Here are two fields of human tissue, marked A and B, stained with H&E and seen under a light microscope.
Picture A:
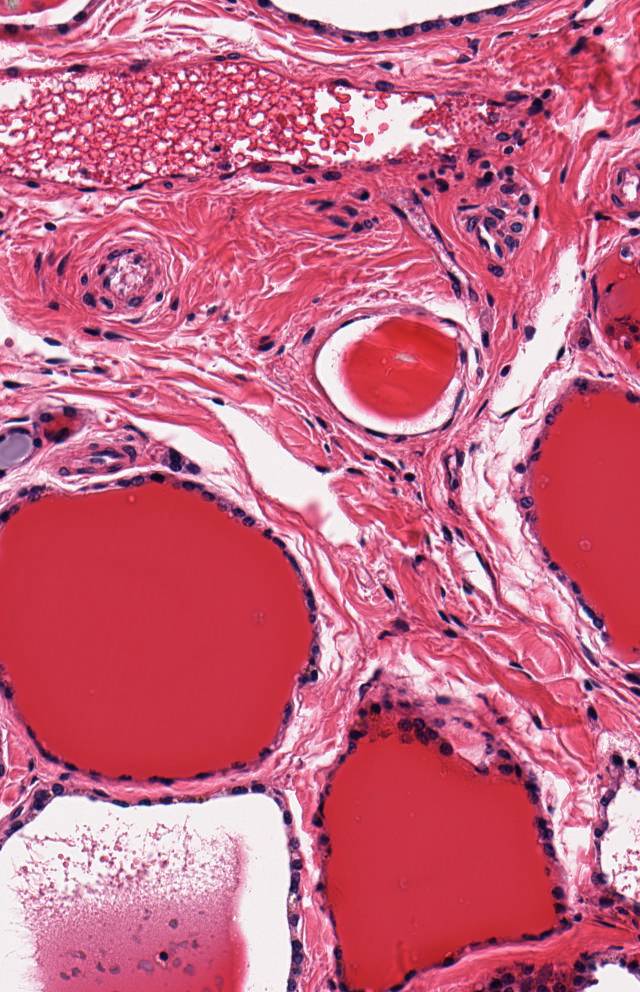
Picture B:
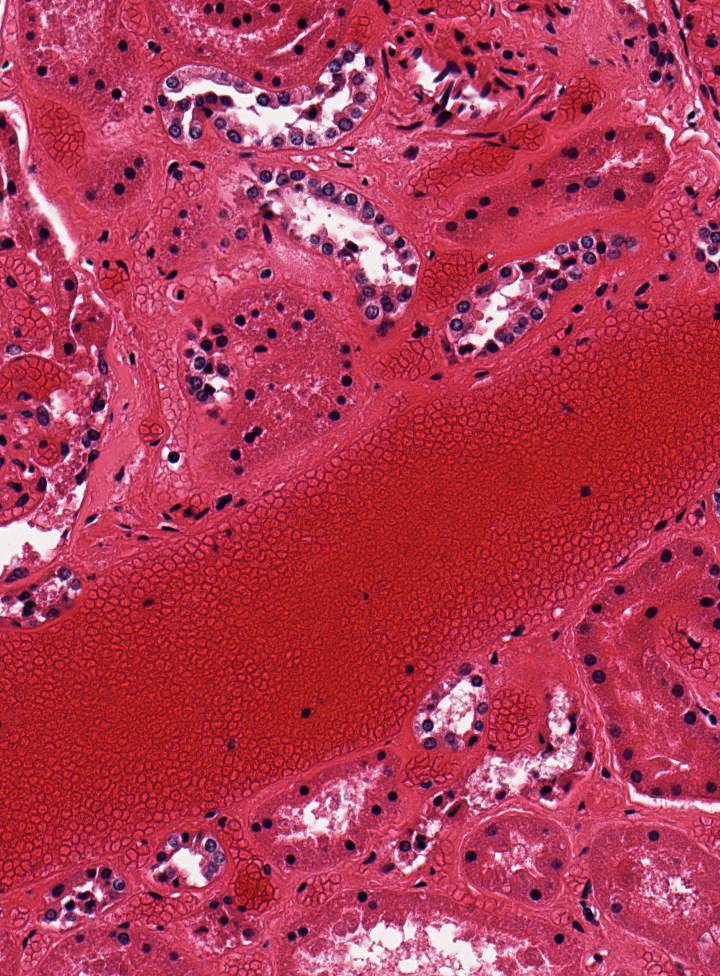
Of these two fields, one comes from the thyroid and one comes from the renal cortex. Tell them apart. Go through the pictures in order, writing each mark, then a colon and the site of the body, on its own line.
A: thyroid
B: renal cortex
